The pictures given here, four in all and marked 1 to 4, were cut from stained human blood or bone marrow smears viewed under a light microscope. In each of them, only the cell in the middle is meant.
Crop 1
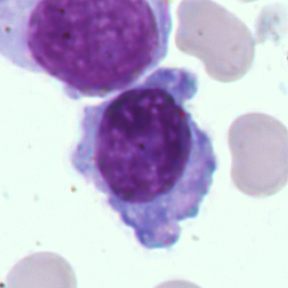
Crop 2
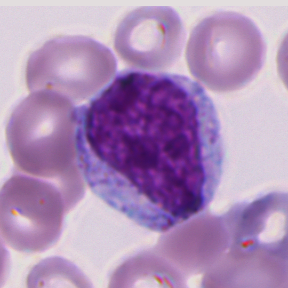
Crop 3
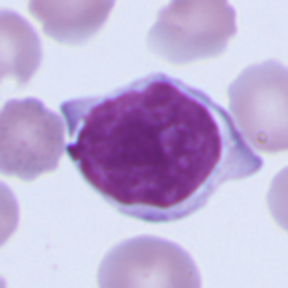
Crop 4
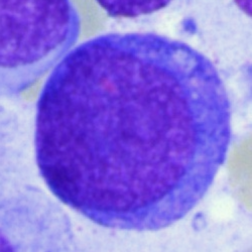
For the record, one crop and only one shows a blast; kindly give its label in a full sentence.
In the set of crops, crop 4 is the one that contains a blast.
